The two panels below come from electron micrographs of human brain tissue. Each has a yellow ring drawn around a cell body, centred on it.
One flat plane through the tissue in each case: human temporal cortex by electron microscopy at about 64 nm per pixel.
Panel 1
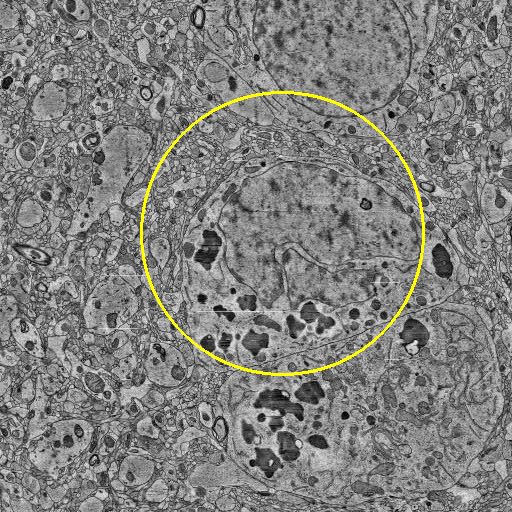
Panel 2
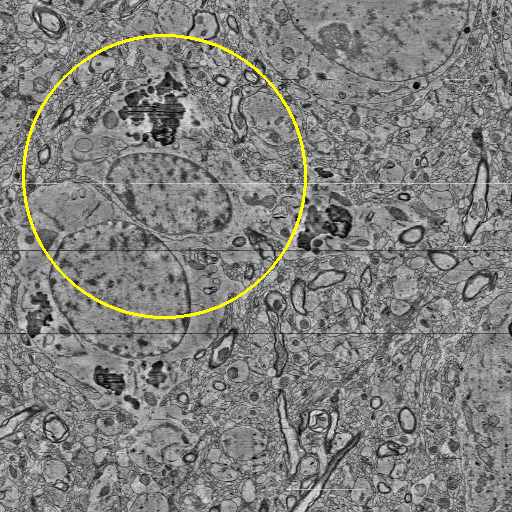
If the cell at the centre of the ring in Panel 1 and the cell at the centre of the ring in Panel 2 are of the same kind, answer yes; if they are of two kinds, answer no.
no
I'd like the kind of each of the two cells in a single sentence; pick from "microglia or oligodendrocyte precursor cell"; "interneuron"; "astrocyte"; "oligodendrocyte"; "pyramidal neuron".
The first ring marks an interneuron, and the second ring marks an astrocyte.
